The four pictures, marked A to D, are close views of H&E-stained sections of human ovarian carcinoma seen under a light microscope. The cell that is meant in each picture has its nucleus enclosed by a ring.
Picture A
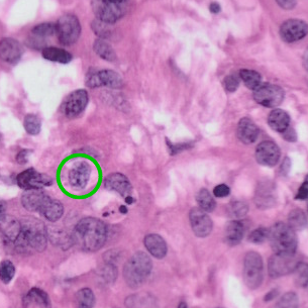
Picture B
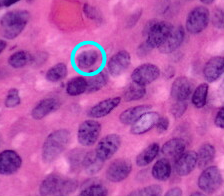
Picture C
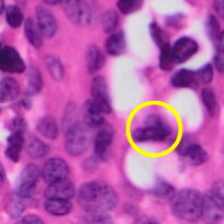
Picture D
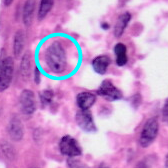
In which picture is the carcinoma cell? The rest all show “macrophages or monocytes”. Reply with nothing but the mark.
C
